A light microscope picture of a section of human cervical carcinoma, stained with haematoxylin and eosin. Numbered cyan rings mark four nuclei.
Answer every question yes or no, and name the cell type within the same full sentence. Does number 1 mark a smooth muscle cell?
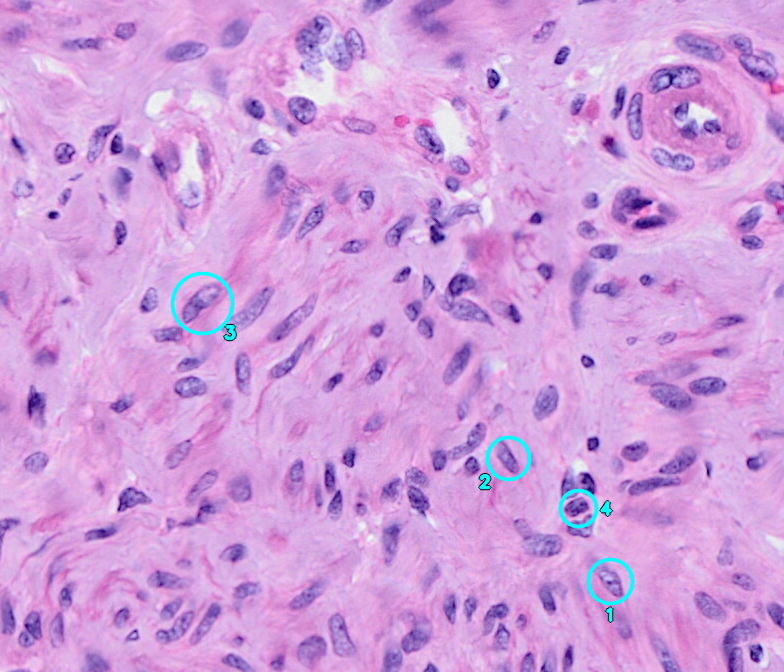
Yes, the cell whose nucleus carries number 1 is a smooth muscle cell.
